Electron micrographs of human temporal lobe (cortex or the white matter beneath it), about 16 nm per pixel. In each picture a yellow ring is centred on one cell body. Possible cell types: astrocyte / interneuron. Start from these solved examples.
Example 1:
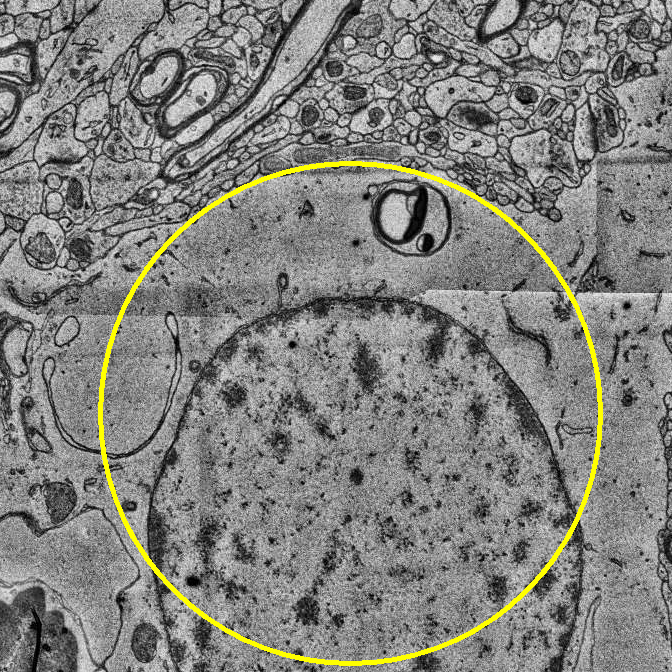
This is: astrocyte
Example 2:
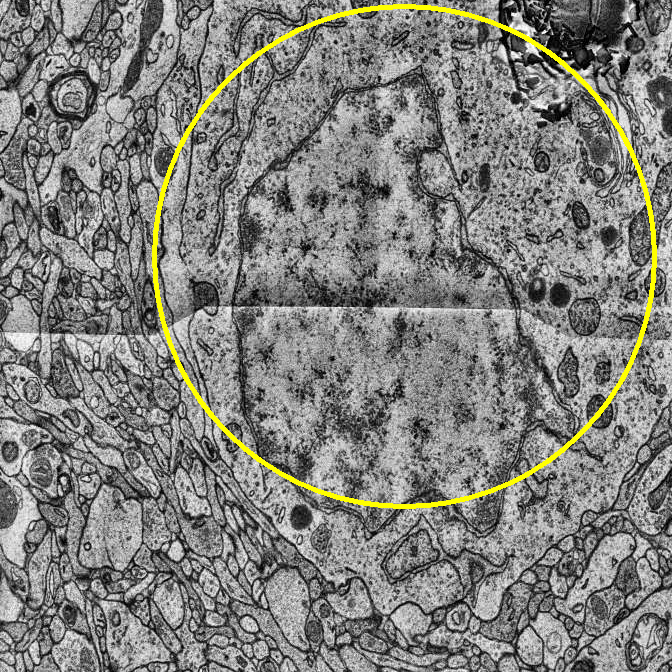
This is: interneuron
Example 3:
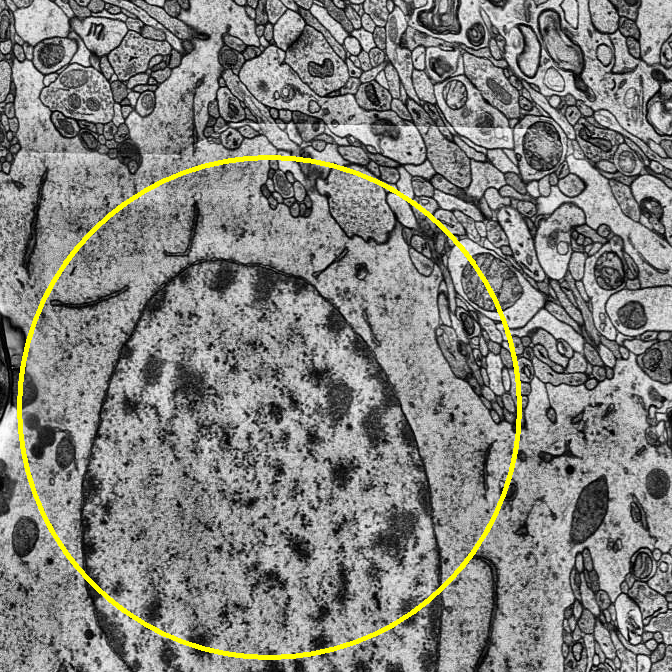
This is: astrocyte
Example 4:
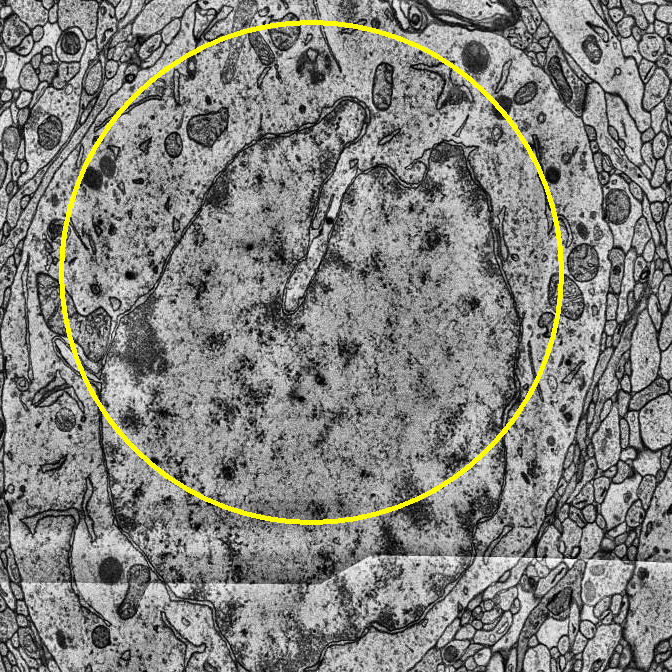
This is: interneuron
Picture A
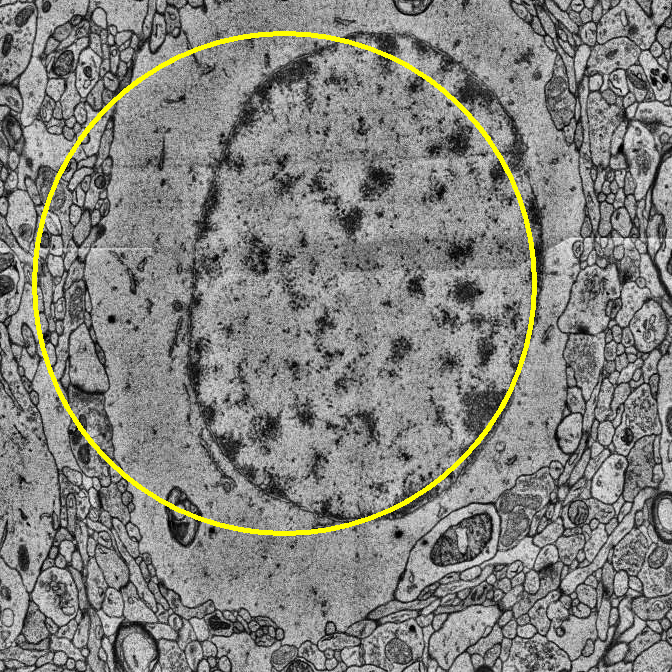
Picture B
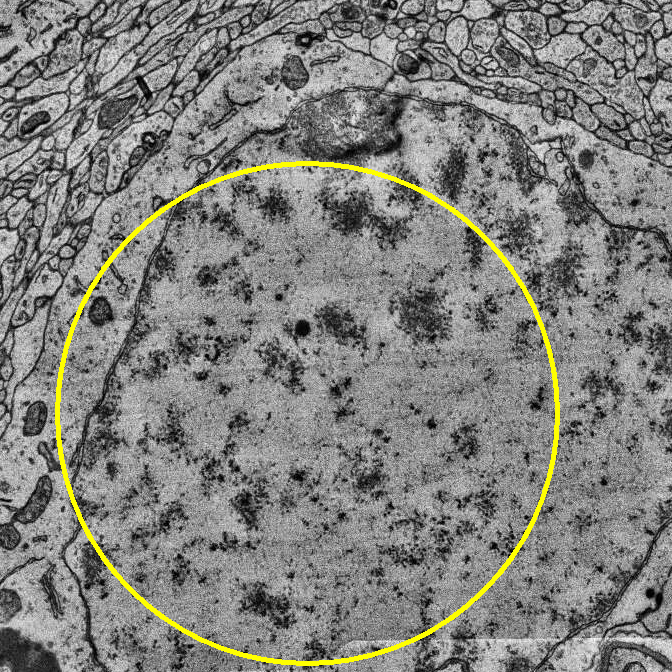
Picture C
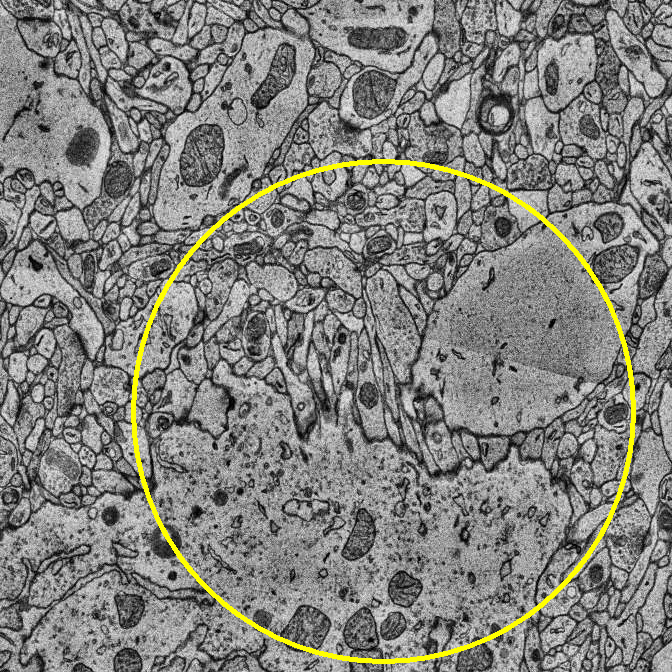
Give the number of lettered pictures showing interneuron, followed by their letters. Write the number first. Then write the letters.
Count: 2 (B, C)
